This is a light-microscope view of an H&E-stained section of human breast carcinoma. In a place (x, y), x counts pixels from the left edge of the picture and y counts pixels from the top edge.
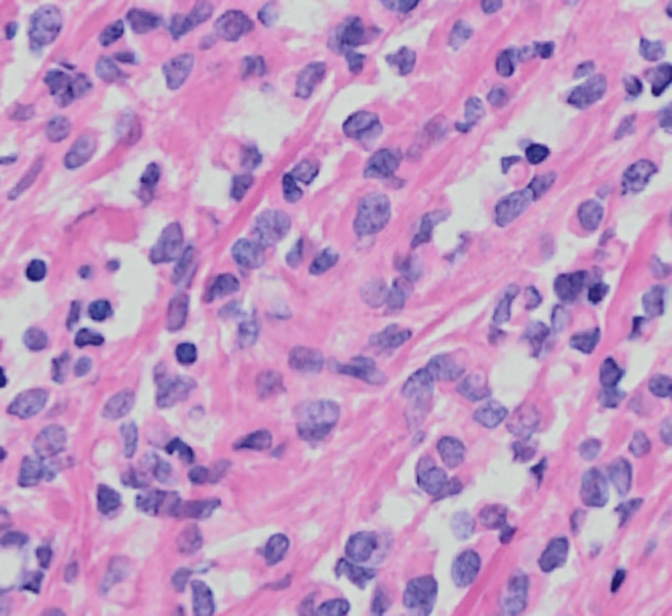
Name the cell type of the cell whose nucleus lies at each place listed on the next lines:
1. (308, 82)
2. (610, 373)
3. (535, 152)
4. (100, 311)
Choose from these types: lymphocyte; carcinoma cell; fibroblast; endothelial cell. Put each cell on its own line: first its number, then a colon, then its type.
1: carcinoma cell
2: carcinoma cell
3: lymphocyte
4: lymphocyte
